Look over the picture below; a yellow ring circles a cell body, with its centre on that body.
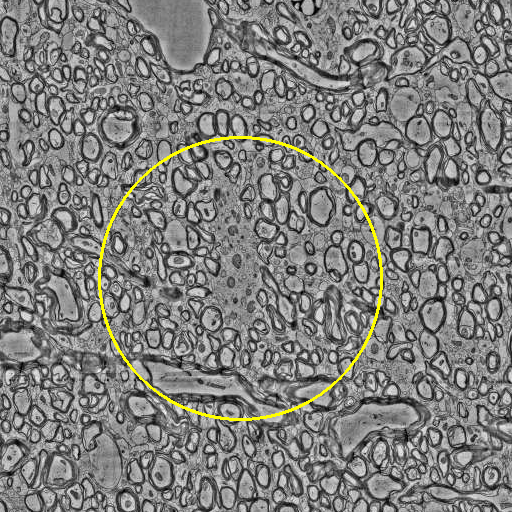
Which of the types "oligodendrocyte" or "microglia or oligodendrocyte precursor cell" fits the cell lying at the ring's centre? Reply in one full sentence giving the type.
The picture shows an oligodendrocyte at the centre of the yellow ring.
